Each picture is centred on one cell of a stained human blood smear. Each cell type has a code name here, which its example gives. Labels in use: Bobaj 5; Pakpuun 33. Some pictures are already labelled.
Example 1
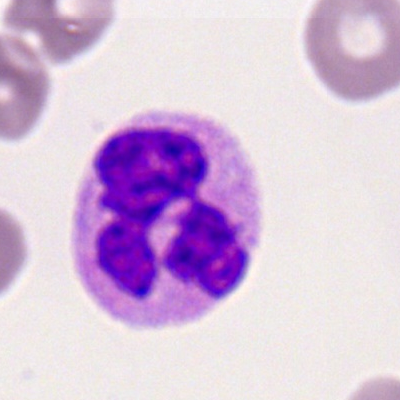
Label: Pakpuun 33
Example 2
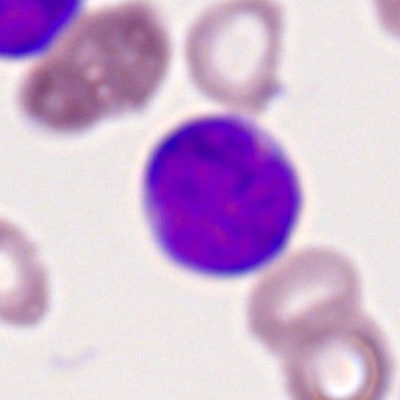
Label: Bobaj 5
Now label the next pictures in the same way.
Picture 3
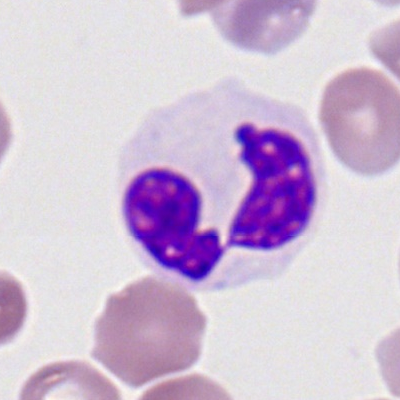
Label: Pakpuun 33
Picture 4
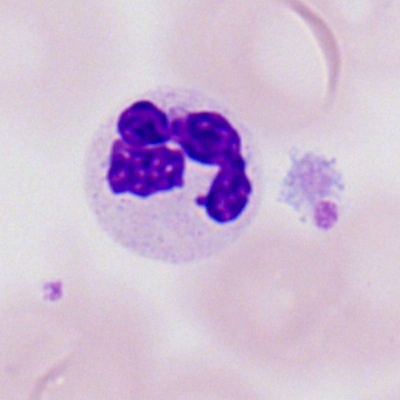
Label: Pakpuun 33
